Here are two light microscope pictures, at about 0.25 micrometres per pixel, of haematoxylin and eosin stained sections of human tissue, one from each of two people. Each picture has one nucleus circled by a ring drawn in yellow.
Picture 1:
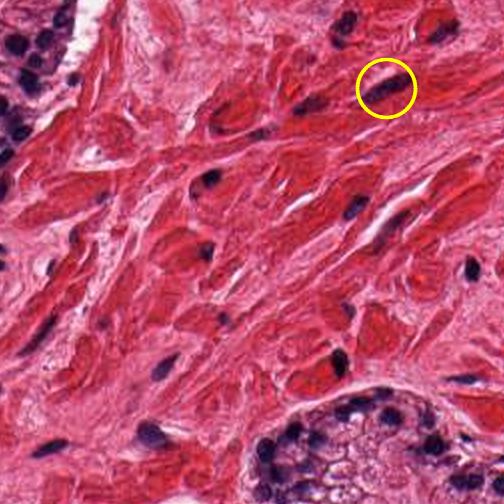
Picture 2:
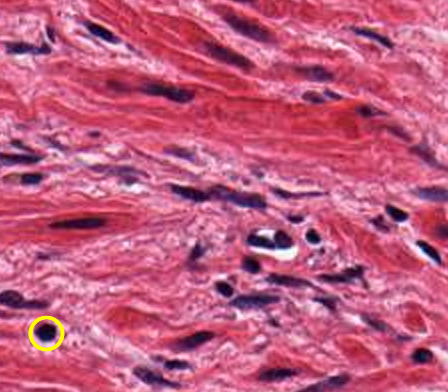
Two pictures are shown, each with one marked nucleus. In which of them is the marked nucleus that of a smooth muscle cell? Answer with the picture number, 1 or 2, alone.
1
